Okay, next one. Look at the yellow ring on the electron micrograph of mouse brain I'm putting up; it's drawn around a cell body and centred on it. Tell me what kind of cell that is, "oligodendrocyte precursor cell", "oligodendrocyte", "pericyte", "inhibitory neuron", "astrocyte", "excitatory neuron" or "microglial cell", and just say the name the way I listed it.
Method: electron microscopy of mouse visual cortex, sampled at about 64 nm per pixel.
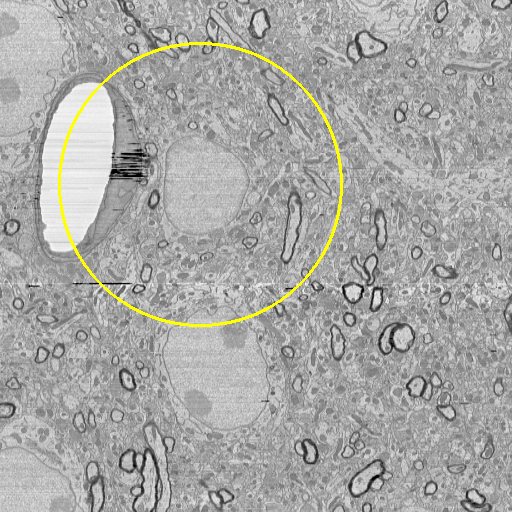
astrocyte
